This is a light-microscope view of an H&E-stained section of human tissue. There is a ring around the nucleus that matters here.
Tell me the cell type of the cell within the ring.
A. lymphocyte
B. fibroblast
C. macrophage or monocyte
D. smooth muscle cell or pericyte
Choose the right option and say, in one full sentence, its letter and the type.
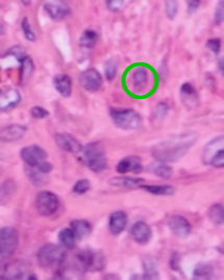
Best answer: option D, with the cell within the ring being a smooth muscle cell or pericyte.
